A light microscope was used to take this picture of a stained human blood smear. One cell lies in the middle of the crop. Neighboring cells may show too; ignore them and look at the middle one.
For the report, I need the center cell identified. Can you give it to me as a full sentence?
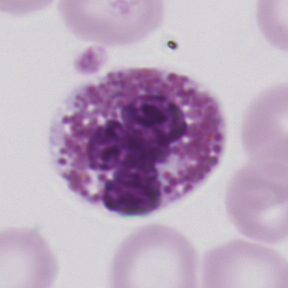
This crop has an eosinophil at its centre.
